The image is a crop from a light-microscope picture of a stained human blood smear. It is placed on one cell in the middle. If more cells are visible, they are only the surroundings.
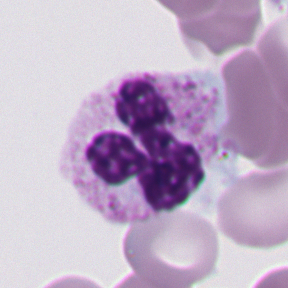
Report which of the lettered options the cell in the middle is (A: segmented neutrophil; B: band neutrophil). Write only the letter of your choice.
A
